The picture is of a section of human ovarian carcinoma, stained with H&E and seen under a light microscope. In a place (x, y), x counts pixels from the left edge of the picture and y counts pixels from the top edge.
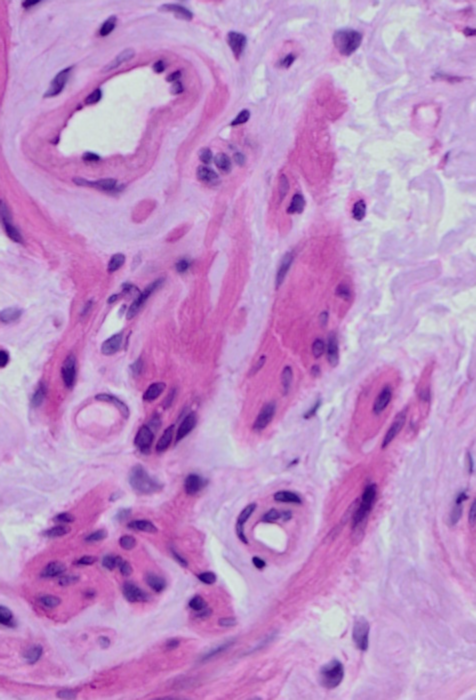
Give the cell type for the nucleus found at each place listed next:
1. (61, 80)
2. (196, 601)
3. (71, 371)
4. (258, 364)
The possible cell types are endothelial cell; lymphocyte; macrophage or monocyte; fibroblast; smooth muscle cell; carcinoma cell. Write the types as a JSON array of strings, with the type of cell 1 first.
["fibroblast", "smooth muscle cell", "smooth muscle cell", "smooth muscle cell"]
